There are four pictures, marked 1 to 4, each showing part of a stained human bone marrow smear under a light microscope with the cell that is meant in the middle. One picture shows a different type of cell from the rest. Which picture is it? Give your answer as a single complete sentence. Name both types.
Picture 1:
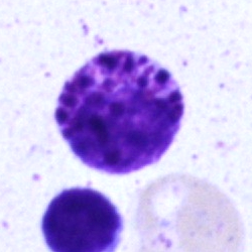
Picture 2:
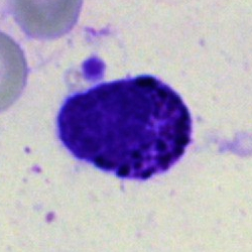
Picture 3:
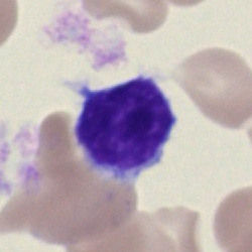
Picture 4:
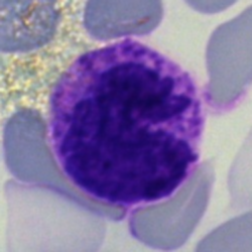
Picture 3 differs, because its cell is a lymphocyte and the rest are basophils.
